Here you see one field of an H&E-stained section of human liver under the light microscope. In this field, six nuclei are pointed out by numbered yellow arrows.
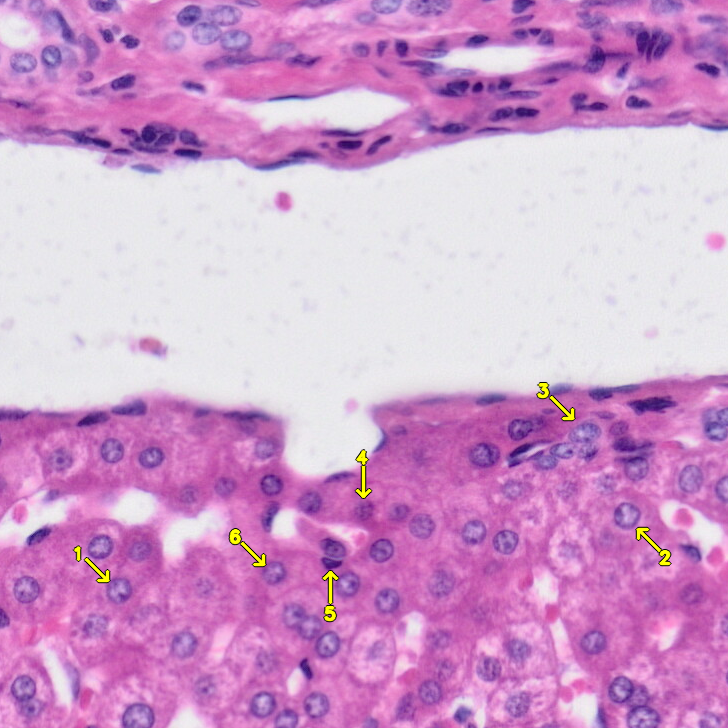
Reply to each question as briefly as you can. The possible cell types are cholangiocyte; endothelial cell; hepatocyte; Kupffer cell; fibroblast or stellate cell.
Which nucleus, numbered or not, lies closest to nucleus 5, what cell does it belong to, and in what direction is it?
a Kupffer cell, above nucleus 5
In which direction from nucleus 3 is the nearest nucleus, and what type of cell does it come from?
a cholangiocyte, below nucleus 3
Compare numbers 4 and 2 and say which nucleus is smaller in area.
4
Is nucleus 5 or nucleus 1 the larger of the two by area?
1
